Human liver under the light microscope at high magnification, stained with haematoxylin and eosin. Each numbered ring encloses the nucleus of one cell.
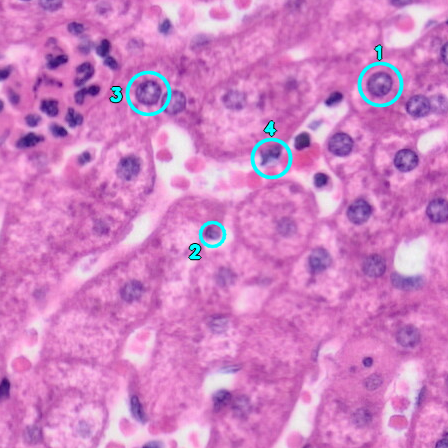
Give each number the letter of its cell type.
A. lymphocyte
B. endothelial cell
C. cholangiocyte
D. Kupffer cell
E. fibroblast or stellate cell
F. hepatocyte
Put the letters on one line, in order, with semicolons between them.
F; D; F; B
